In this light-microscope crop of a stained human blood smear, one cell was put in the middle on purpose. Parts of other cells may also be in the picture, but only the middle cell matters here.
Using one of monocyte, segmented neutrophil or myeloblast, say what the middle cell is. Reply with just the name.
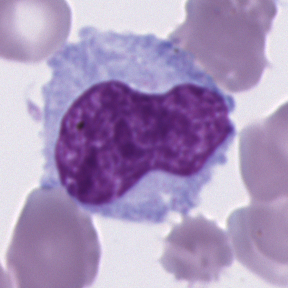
monocyte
